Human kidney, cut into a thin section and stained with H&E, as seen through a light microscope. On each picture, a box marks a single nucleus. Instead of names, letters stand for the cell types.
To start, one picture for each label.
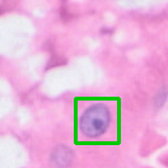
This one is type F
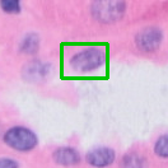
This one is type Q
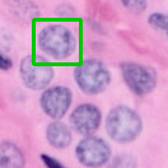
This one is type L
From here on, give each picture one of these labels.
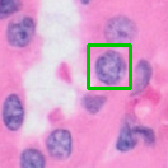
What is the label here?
type Q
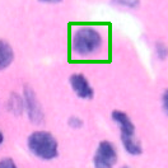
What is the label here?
type Q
